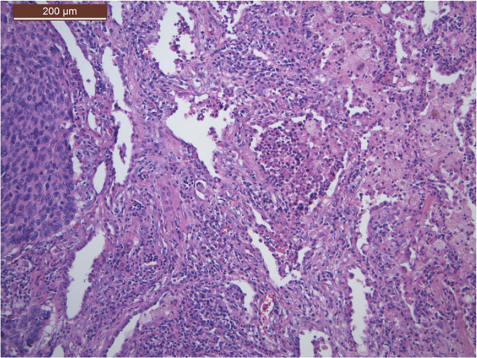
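Lung parenchyma with narrowed, slit-like air spaces set in thickened pink fibrous septa. The septa are densely crowded with small cells with dark round nuclei, and scattered larger cells with pale pink cytoplasm lie within some air spaces. At the left edge lies a sheet of larger cells with more open nuclei and pink cytoplasm.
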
